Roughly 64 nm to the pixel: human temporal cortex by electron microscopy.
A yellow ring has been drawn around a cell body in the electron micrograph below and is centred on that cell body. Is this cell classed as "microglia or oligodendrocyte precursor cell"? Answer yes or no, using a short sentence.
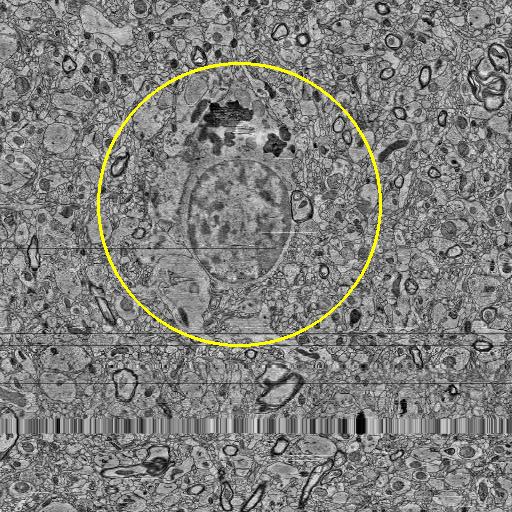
No, it is classed as another kind.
